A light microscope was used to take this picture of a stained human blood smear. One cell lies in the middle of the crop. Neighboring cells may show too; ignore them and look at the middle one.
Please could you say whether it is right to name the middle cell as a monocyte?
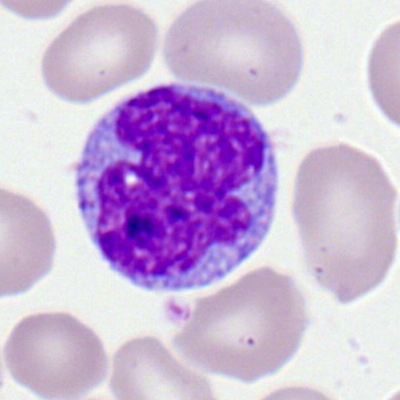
yes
